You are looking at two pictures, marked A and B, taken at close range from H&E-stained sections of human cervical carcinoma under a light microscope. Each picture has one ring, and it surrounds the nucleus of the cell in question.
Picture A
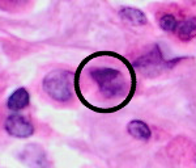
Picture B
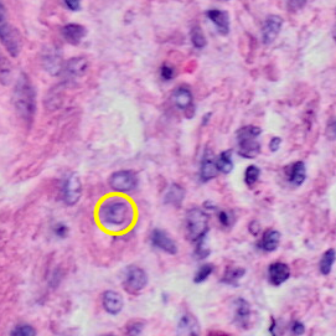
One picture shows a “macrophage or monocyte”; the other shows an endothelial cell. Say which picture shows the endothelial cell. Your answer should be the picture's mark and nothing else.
B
